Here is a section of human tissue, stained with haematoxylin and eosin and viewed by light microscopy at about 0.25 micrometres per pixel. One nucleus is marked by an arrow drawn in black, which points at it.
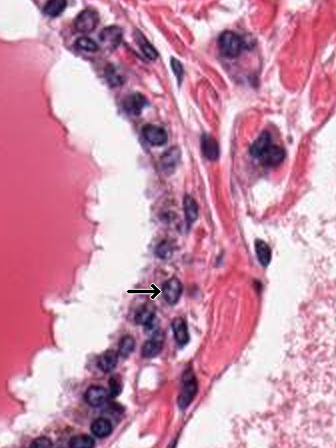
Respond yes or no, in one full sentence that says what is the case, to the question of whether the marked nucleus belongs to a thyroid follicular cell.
Yes, the marked nucleus is housed in a thyroid follicular cell.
